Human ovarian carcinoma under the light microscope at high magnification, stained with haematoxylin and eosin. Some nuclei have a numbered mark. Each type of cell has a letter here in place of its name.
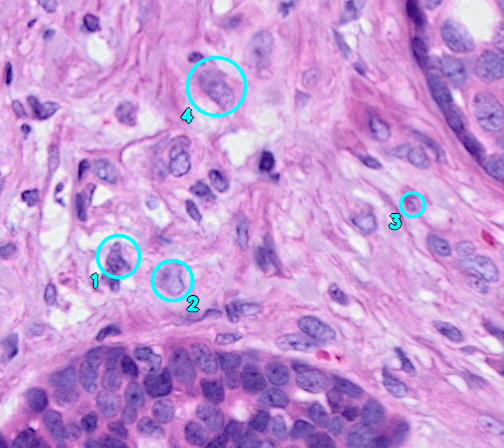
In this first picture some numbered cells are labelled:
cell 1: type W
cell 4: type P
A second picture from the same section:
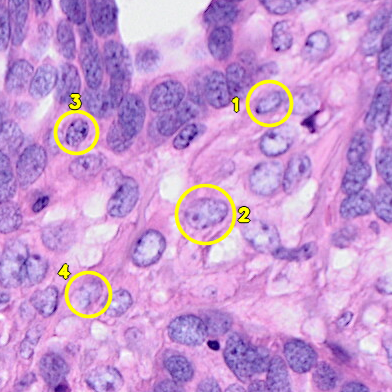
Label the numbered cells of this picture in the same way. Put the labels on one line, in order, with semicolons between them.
type P; type P; type W; type P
